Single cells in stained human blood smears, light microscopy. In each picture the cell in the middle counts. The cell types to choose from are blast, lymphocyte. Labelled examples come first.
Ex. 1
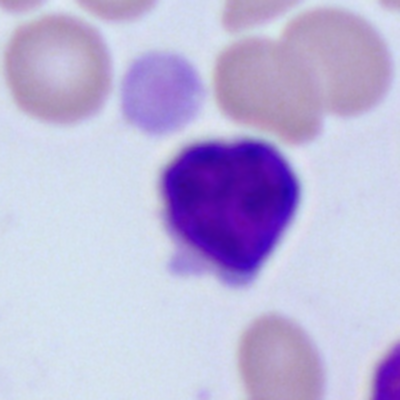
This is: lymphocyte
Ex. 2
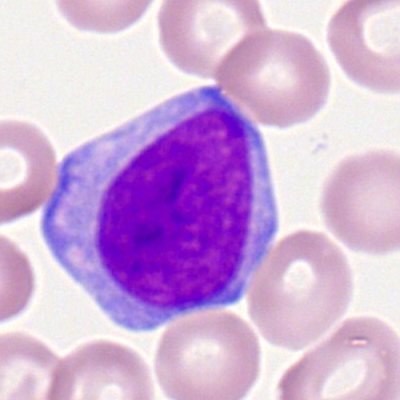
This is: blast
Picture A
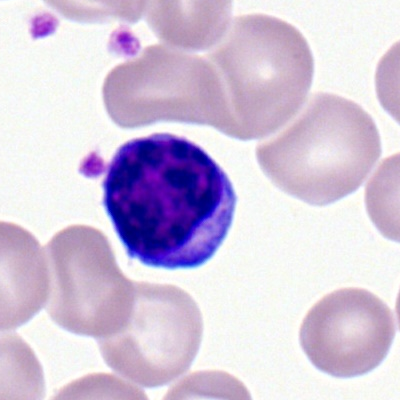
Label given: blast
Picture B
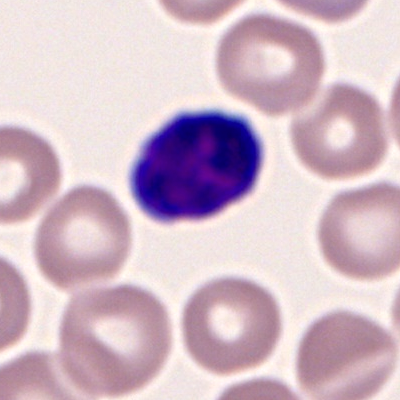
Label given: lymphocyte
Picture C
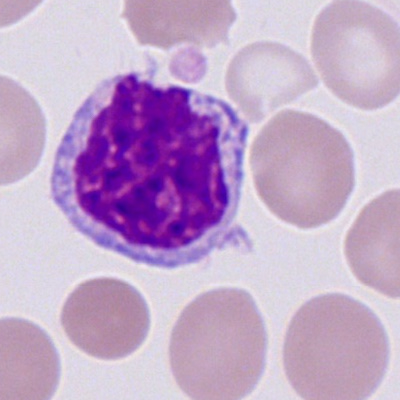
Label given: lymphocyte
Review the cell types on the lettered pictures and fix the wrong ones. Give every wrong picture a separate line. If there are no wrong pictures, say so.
A: change blast to lymphocyte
